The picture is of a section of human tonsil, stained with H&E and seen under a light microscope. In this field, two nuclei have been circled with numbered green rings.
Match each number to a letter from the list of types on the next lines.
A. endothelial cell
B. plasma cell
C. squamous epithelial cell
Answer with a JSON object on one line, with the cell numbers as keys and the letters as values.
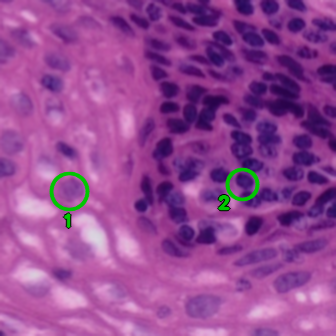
{"1": "C", "2": "B"}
